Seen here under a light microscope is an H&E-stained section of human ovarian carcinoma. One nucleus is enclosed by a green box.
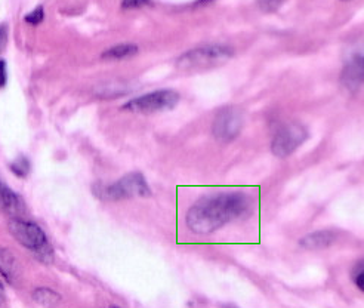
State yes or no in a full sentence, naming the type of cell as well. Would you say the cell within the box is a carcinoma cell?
No, the cell within the box is reported as a fibroblast rather than a carcinoma cell.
